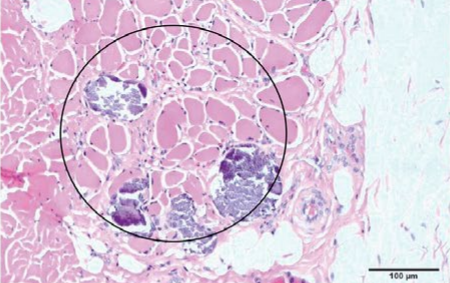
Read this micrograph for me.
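Skeletal muscle fibres cut in cross section appear as polygonal to rounded pink profiles of widely varying size, many of them small. Several fibres within a focal patch are filled with dark purple, granular, cracked deposits of mineralization. Some fibres show nuclei lying internally rather than only at the periphery, and loose pale connective tissue and fat lie at the edge of the field.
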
